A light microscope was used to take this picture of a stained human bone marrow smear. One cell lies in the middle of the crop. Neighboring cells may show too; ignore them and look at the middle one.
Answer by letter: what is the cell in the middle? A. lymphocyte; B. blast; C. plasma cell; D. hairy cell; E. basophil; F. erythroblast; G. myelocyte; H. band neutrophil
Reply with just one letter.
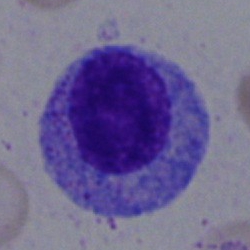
G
